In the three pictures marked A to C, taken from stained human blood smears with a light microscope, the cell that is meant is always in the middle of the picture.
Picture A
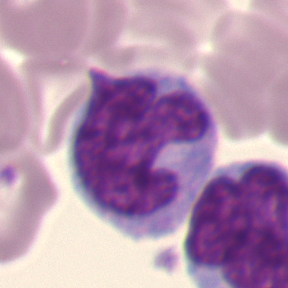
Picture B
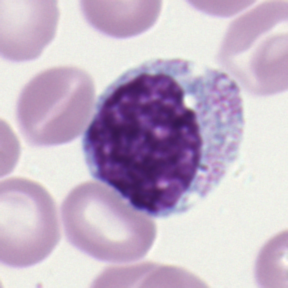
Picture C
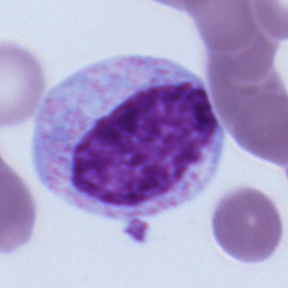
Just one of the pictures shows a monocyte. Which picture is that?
A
